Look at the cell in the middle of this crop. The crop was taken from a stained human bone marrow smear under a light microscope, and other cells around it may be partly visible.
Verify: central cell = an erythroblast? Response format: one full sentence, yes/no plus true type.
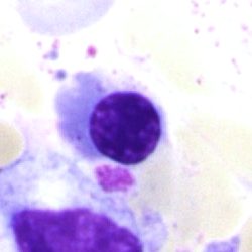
Yes, the cell of interest in the middle is an erythroblast.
